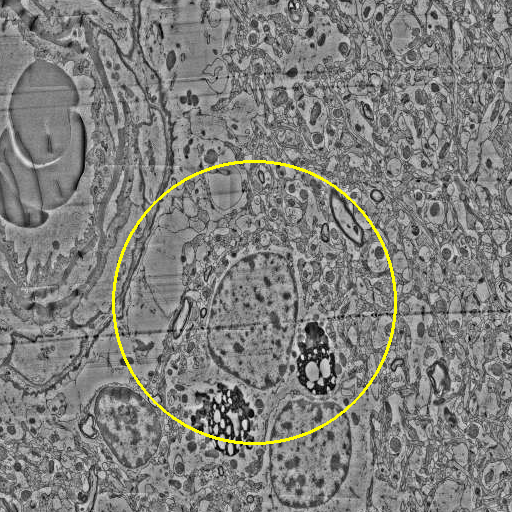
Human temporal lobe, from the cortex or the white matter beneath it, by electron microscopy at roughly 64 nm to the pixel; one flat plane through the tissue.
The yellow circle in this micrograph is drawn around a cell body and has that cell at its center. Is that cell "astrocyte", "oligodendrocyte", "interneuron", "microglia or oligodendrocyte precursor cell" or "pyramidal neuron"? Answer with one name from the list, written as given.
astrocyte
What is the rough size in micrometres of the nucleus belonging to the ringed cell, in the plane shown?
Roughly 9 micrometres long and 6 micrometres wide; in this plane the nucleus is clearly longer than it is wide.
